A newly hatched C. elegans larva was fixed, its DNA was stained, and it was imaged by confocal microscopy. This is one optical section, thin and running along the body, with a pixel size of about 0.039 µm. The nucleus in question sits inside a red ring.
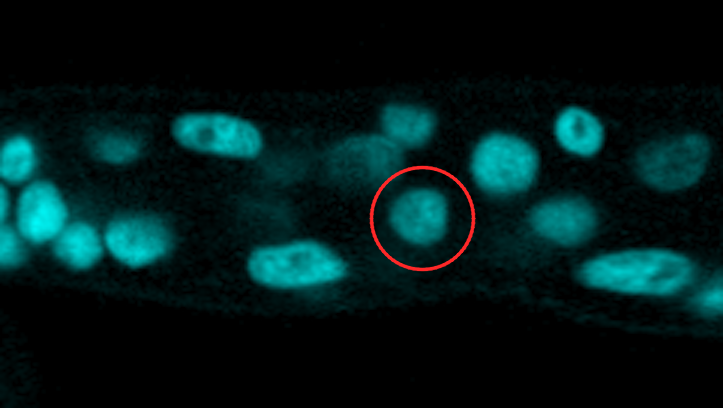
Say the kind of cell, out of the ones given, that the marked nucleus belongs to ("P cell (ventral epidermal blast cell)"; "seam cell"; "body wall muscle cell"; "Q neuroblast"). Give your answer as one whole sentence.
The marked nucleus belongs to a P cell (ventral epidermal blast cell).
